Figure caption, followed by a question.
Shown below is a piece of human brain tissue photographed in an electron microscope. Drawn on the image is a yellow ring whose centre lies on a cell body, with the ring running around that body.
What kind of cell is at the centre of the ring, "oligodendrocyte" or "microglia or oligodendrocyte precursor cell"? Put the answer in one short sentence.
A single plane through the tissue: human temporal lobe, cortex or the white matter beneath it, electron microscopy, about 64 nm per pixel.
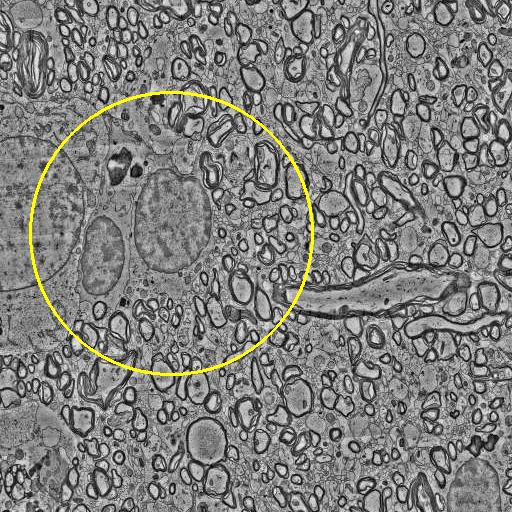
The ring marks the cell body of an oligodendrocyte.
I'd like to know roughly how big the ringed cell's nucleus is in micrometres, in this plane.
Approximately 7 by 5 micrometers in this plane.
